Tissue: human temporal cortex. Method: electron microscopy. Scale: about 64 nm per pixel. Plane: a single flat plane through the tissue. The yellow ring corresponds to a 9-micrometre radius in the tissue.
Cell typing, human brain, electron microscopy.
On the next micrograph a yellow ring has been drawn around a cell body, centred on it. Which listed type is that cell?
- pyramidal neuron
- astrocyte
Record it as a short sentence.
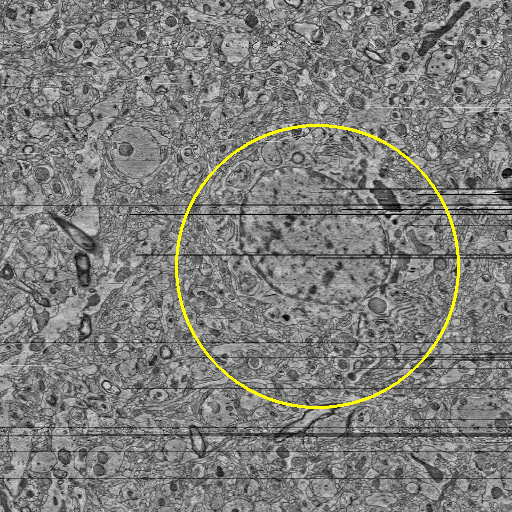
The cell body in the ring's centre belongs to an astrocyte.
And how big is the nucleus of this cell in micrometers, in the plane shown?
About 10 by 8 micrometers, in this plane.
